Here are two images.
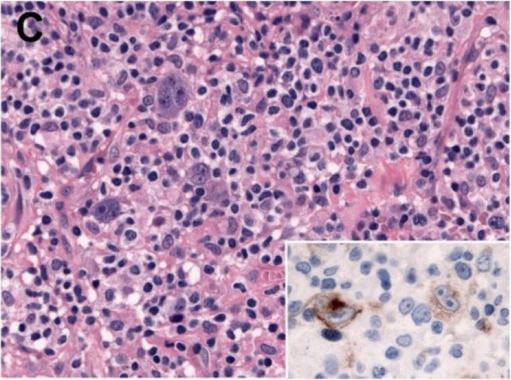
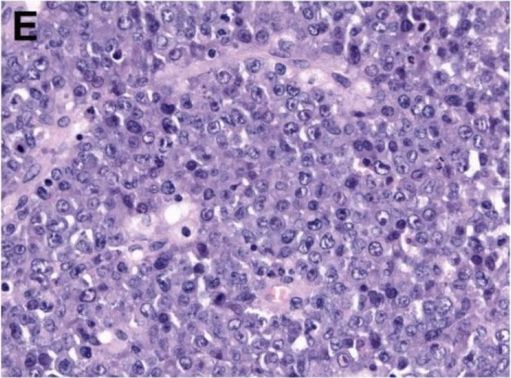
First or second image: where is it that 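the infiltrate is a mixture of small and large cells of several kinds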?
the first image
